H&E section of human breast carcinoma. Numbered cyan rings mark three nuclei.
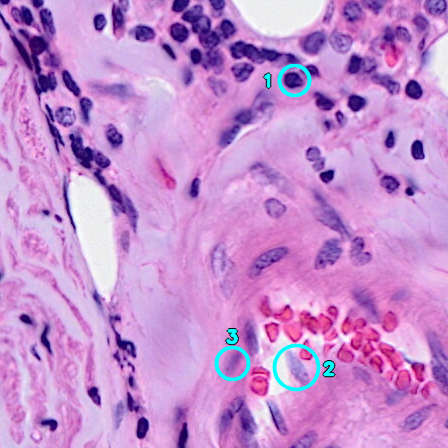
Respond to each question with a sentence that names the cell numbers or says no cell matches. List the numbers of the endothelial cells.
The cells that the numbers 2 and 3 belong to are endothelial cells.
